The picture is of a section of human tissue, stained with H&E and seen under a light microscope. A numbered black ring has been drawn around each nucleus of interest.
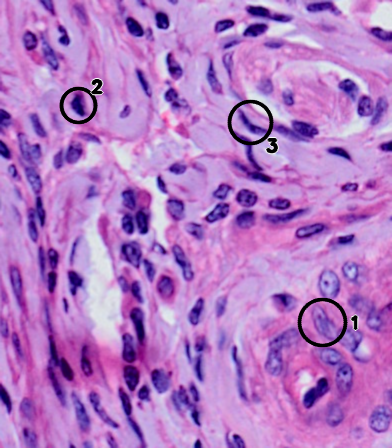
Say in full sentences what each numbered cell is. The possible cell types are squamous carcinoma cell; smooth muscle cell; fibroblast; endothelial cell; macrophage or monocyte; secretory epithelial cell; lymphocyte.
Cell 1 is a smooth muscle cell. Cell 2 is a lymphocyte. Cell 3 is a fibroblast.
